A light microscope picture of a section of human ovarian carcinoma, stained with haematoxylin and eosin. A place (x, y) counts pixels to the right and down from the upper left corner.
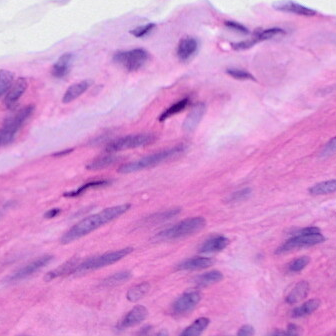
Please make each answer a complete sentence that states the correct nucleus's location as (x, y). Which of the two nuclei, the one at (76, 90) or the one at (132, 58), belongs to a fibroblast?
The nucleus at (132, 58) belongs to a fibroblast, which distinguishes it from the other nucleus.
